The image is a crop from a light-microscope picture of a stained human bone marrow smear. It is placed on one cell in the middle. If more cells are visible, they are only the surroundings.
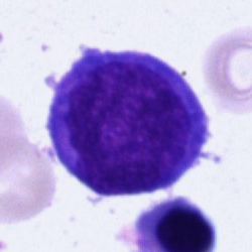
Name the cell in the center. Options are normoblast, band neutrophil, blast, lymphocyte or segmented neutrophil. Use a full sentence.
As for the cell in the middle, it is a blast.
